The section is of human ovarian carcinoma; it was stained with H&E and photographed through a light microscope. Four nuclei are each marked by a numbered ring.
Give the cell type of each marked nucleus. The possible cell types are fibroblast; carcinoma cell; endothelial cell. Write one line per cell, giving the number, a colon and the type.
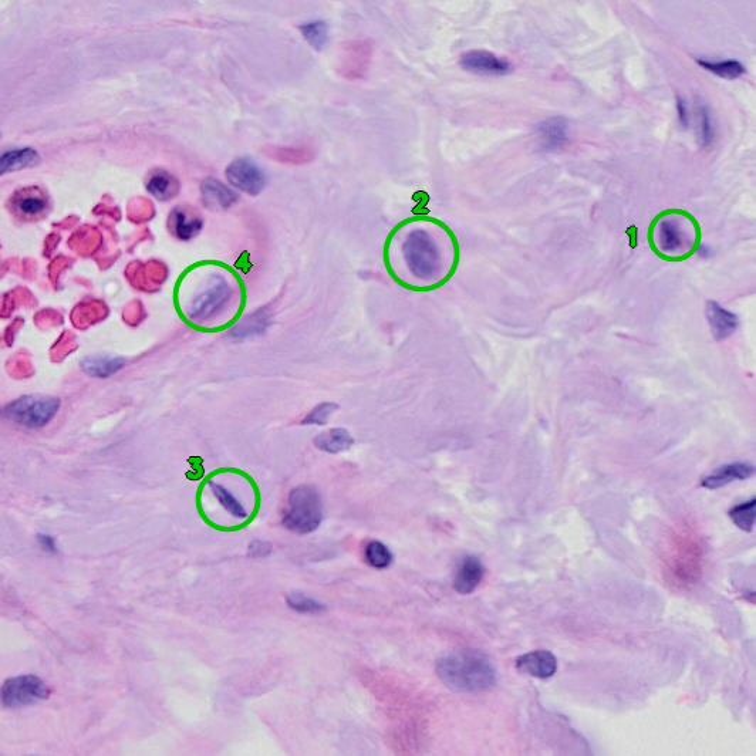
1: fibroblast
2: fibroblast
3: fibroblast
4: endothelial cell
